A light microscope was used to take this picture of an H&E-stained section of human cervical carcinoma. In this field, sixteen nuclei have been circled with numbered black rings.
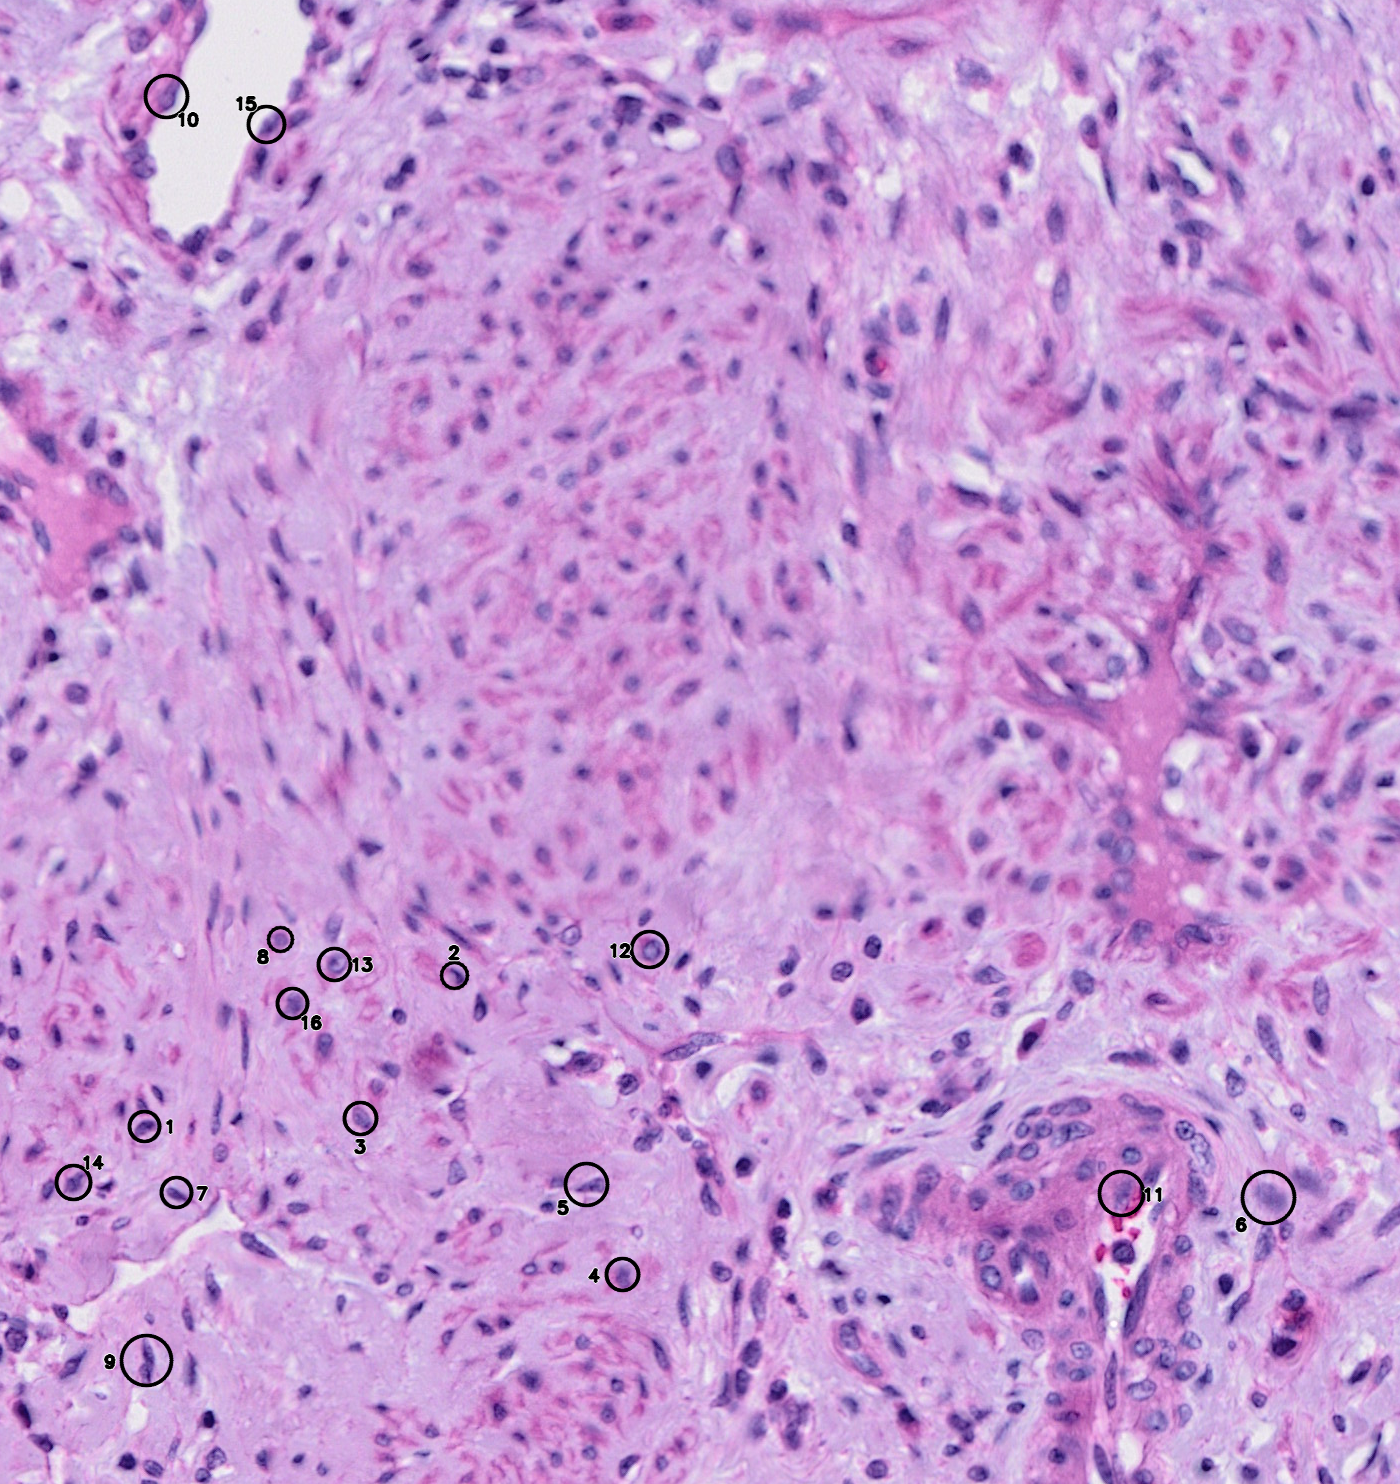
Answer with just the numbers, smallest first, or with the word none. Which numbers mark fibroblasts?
5, 6, 7, 9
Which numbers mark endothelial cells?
10, 11, 15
